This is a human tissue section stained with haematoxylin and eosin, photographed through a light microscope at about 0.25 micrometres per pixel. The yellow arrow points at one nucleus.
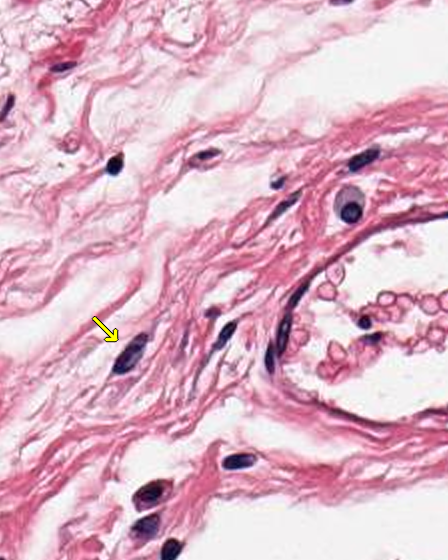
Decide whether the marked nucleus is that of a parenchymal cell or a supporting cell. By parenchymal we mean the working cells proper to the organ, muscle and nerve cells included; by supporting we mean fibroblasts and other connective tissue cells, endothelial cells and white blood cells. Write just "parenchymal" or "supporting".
supporting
